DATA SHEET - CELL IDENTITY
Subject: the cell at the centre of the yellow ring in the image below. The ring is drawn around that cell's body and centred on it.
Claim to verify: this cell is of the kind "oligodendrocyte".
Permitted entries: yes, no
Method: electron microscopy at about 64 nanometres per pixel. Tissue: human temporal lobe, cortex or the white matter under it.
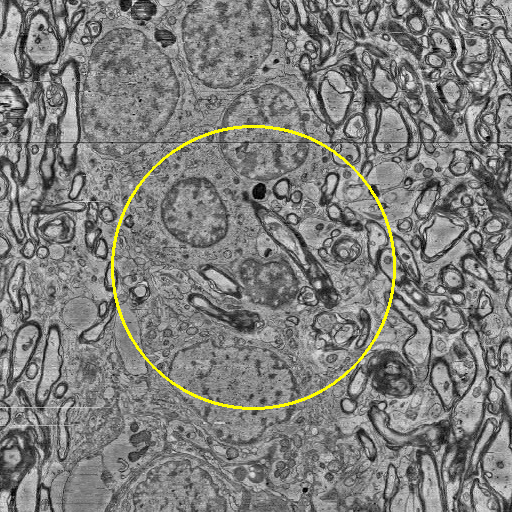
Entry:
yes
